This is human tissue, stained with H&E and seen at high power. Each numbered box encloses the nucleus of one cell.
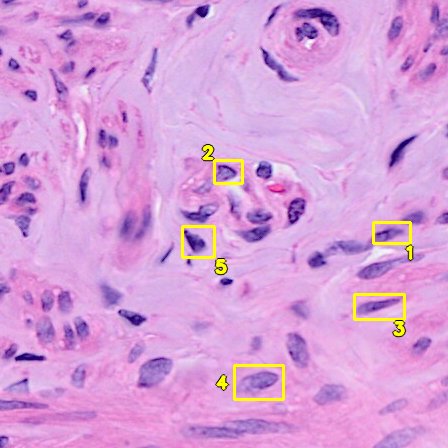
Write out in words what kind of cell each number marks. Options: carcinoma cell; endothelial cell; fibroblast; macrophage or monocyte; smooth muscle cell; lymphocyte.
Cells 1, 3 and 4 are smooth muscle cells. Cell 2 is an endothelial cell. Cell 5 is a fibroblast.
